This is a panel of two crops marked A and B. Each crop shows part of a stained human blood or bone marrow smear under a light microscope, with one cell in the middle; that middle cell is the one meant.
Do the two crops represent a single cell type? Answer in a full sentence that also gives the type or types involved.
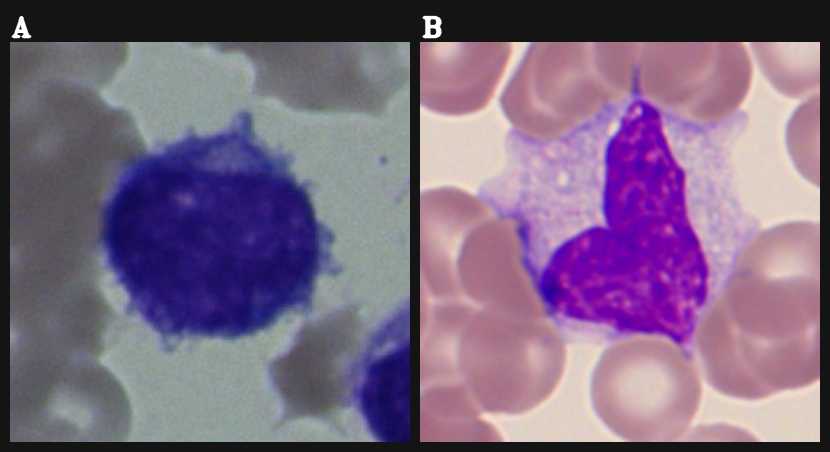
No, crop A holds a blast, and a monocyte occupies crop B.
